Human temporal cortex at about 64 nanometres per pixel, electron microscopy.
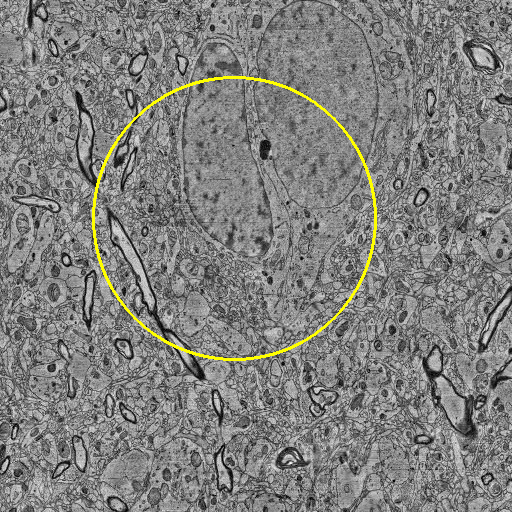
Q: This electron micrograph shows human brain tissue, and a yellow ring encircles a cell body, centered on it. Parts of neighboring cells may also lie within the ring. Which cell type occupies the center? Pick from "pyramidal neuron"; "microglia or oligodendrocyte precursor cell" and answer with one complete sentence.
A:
What sits at the ring's center in this micrograph is a microglial cell or oligodendrocyte precursor cell, among those choices.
